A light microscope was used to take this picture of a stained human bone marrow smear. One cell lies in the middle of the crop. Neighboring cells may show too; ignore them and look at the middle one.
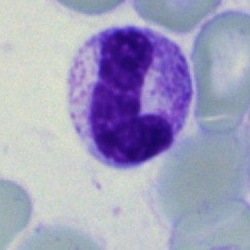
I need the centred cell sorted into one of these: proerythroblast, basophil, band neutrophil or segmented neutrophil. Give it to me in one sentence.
As for the cell in the middle, it is a band neutrophil.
